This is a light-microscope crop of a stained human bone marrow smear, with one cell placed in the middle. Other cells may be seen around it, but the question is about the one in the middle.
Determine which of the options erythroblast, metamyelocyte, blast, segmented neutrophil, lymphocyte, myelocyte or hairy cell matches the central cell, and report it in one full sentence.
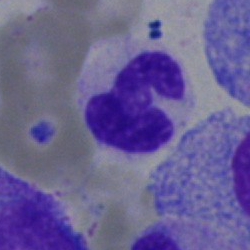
The crop centres on a single cell, and that cell is a segmented neutrophil.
